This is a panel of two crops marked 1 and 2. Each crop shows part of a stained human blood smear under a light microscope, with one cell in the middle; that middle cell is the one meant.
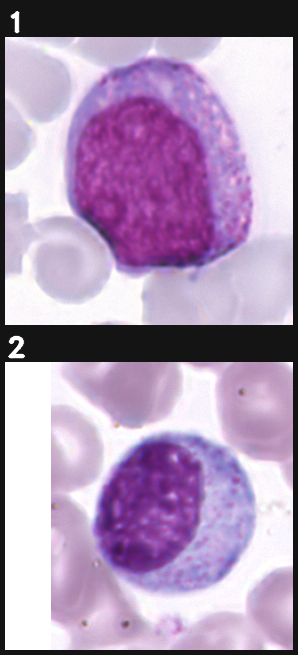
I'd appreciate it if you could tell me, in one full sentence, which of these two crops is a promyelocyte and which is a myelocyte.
Crop 1 is a promyelocyte, whereas a myelocyte is found in crop 2.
